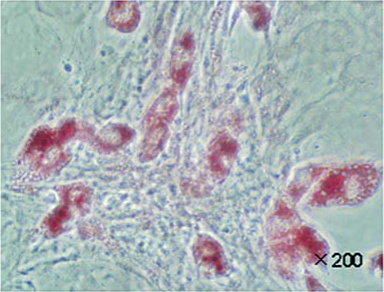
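Among a layer of flat, spindle-shaped cells on a pale blue-green background lie scattered larger cells, rounded or elongated, whose cytoplasm is packed with red-stained droplets. In some the droplets merge into a solid red mass; in others they appear as clusters of small red globules. The surrounding spindle cells take up little of the red and keep a faint outline.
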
